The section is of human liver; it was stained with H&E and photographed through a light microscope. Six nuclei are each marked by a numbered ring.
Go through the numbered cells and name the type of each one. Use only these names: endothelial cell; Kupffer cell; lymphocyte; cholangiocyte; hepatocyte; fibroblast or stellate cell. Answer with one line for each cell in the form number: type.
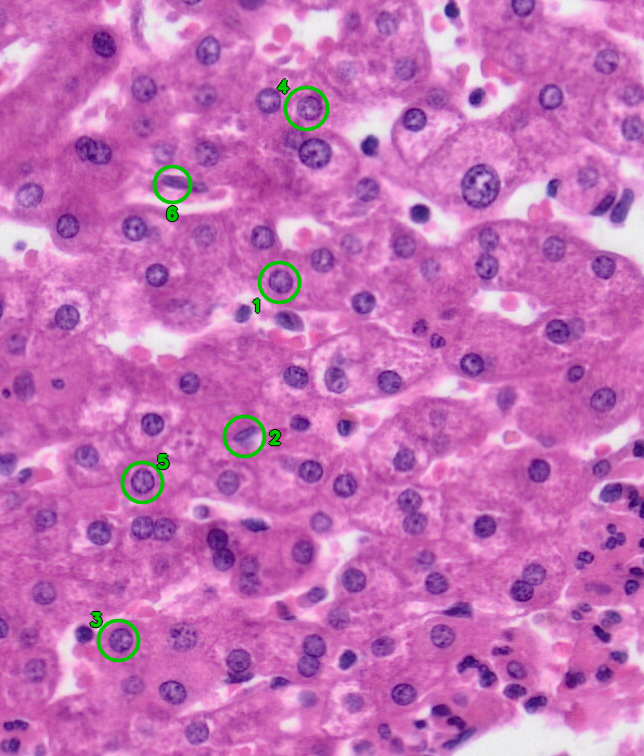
1: hepatocyte
2: endothelial cell
3: hepatocyte
4: hepatocyte
5: hepatocyte
6: Kupffer cell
